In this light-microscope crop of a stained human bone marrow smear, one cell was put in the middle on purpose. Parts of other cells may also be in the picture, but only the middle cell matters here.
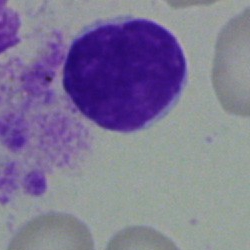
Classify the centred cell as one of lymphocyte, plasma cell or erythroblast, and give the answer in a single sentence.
The centrally placed cell is classified as a lymphocyte.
